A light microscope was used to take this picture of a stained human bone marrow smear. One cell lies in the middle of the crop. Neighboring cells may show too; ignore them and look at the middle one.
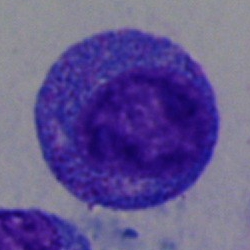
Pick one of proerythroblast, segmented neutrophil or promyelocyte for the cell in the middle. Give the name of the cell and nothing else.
promyelocyte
